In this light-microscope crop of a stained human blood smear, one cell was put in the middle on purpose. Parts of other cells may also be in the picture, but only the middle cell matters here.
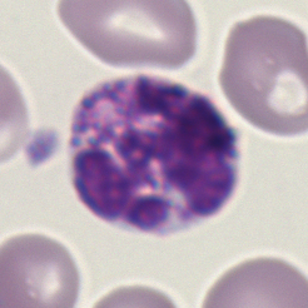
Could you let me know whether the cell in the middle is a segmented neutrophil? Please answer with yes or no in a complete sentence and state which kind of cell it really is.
No, in this crop the middle cell is a basophil, not a segmented neutrophil.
